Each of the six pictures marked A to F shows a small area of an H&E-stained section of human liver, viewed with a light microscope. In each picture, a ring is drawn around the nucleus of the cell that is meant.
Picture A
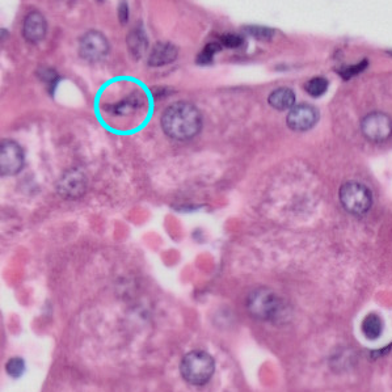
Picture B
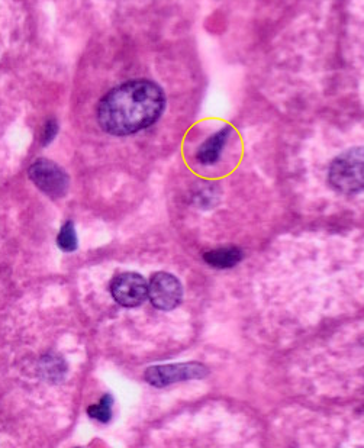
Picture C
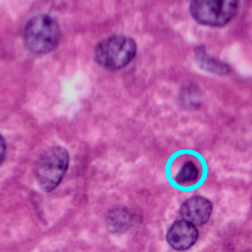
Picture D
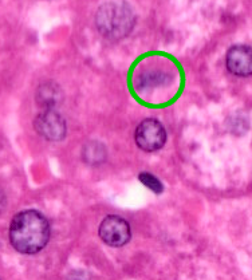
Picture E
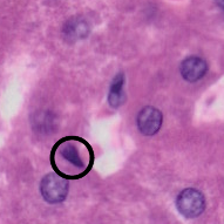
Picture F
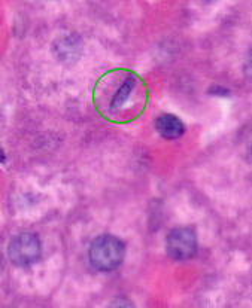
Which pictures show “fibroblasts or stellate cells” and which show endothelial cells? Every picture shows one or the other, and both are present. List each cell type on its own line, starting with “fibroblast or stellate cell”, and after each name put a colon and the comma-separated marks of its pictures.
fibroblast or stellate cell: A, B, C, E
endothelial cell: D, F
